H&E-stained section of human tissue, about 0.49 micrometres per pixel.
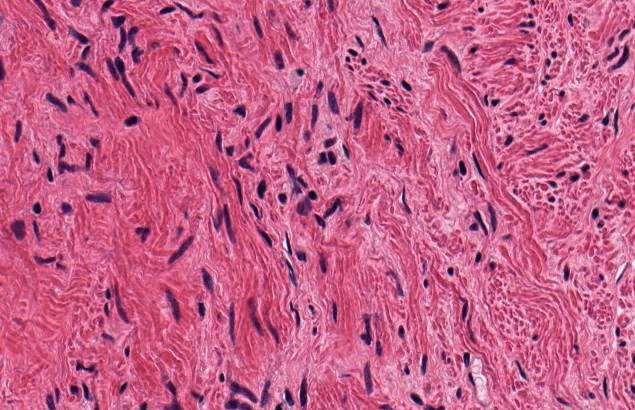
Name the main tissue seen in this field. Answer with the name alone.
fibromuscular stroma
